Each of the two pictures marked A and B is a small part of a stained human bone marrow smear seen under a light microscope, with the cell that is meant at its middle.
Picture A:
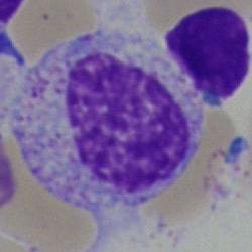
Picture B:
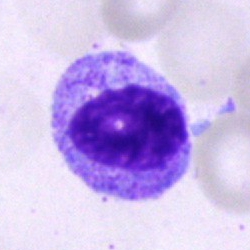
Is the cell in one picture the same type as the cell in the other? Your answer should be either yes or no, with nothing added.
yes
